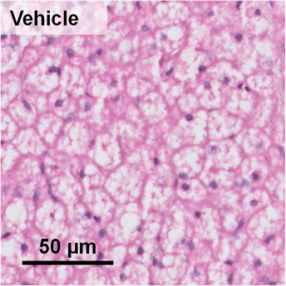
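This is brown adipose tissue made of closely packed polygonal brown adipocytes. Each cell's pink cytoplasm is filled with many small clear lipid droplets, giving a foamy, multilocular look.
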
